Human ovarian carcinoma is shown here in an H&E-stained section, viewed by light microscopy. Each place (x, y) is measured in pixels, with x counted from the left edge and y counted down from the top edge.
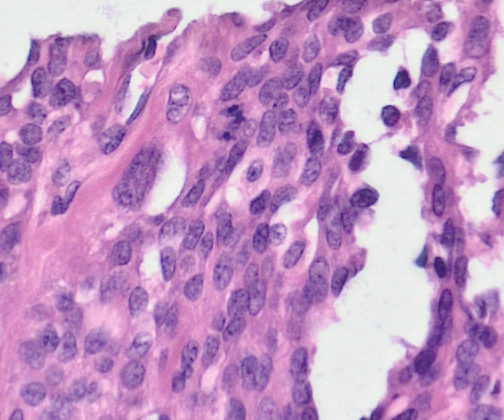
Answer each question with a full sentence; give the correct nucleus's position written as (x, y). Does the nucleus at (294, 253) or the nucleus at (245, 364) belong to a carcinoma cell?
The nucleus at (245, 364) is assigned to a carcinoma cell.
